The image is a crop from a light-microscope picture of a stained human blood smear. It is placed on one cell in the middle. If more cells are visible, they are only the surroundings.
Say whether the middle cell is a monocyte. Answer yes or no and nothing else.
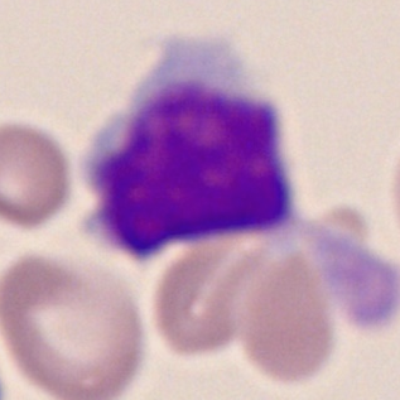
no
